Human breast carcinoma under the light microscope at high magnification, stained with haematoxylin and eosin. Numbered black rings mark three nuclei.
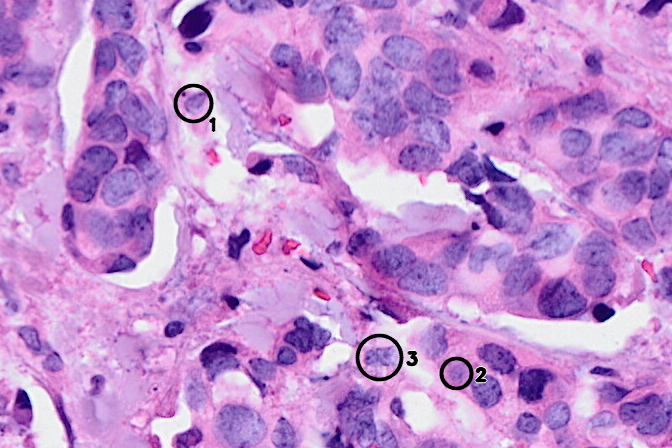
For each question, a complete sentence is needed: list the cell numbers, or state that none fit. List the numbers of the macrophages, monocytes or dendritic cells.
The numbers 1 and 3 refer to cells that are macrophages, monocytes or dendritic cells.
